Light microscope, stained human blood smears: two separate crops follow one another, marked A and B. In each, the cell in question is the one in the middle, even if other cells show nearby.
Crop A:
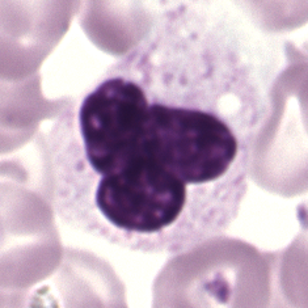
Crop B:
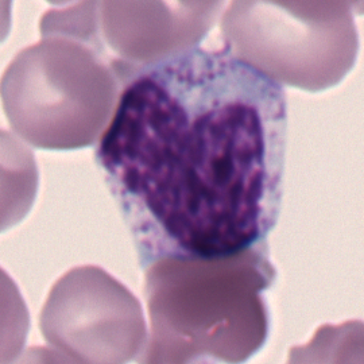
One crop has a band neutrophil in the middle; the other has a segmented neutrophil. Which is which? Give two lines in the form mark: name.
A: segmented neutrophil
B: band neutrophil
